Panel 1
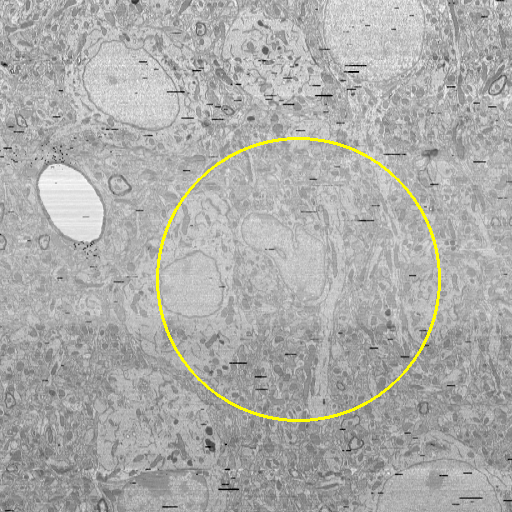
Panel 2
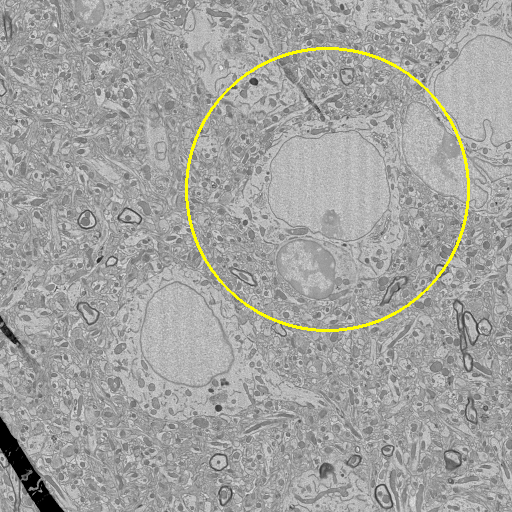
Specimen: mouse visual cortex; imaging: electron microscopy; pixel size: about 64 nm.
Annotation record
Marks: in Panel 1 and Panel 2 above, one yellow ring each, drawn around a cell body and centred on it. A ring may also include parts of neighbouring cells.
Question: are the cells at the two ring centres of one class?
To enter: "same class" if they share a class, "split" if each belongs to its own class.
split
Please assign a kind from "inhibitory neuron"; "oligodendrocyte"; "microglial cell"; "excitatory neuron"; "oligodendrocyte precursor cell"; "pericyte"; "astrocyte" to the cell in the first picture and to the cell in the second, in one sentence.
In the first picture we have an oligodendrocyte precursor cell, and in the second, an excitatory neuron.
